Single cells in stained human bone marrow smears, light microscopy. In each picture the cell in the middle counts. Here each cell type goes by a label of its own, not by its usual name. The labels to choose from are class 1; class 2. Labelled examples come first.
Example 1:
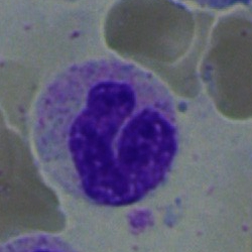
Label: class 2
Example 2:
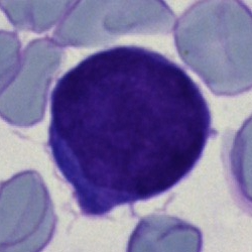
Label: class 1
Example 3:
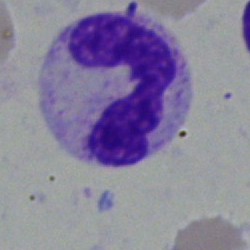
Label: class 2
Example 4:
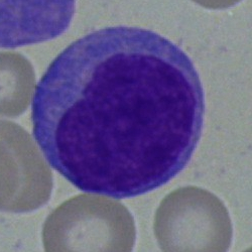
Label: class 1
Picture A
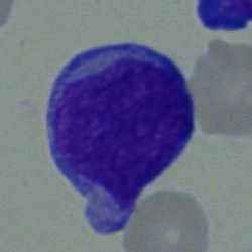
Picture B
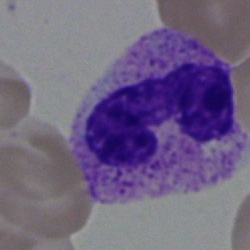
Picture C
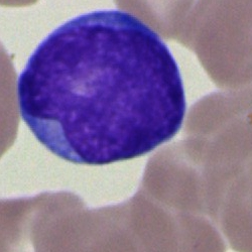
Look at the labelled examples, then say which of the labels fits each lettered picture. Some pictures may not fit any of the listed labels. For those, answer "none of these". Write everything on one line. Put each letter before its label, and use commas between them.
A class 1, B class 2, C class 1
